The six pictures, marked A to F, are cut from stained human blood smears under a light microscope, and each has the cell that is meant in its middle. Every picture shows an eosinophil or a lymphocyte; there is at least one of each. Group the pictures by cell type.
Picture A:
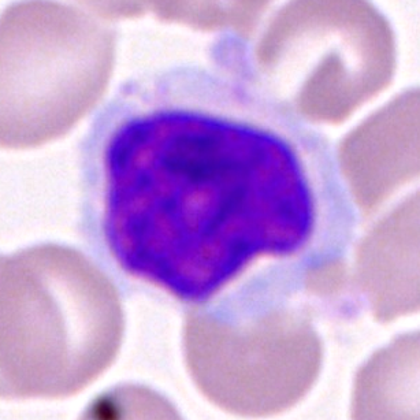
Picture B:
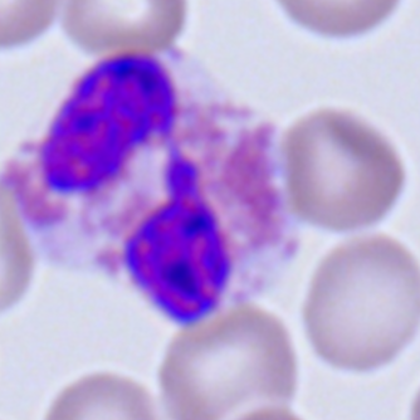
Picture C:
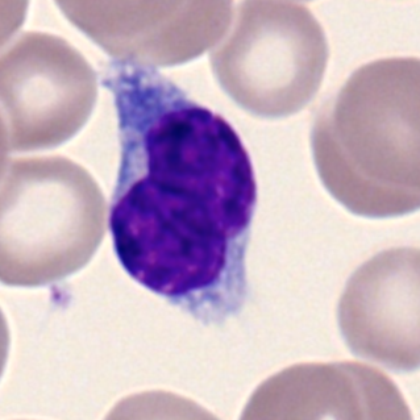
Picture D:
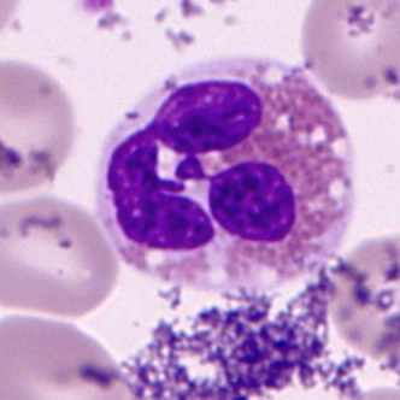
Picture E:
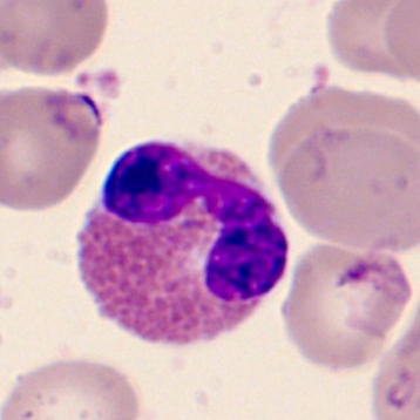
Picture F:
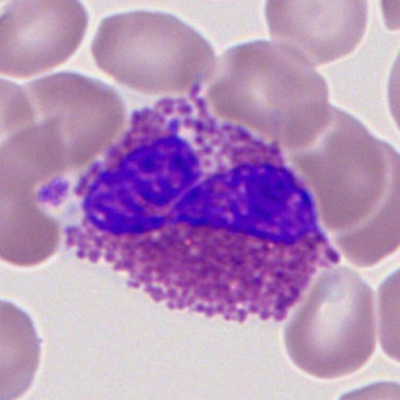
A: lymphocyte
B: eosinophil
C: lymphocyte
D: eosinophil
E: eosinophil
F: eosinophil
